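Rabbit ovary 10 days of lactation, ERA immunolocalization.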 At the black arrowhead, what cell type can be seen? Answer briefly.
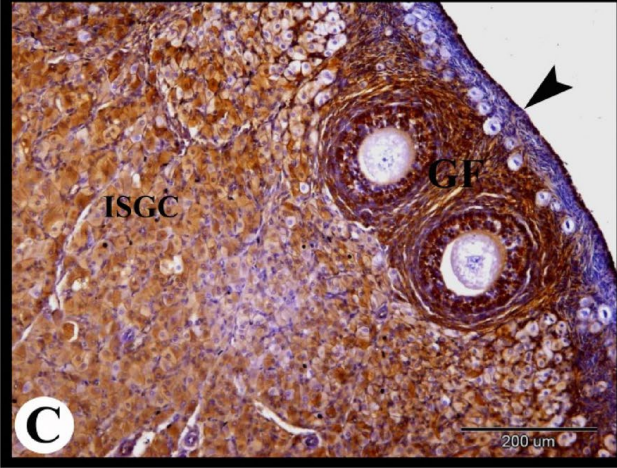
ovarian surface epithelial cells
